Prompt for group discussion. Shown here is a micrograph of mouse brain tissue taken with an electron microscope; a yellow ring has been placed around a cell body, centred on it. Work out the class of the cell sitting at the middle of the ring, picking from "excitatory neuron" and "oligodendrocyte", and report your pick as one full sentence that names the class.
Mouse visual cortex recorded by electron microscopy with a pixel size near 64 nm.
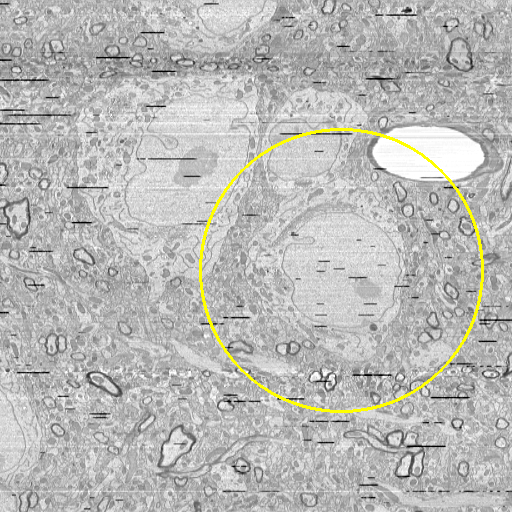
The cell sitting at the middle of the yellow ring is an excitatory neuron.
